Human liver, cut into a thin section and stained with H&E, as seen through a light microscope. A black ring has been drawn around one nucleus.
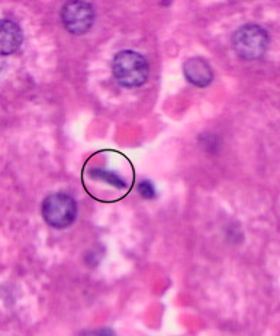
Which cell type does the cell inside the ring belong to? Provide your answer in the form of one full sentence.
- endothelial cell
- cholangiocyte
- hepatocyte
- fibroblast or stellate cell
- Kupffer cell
In this tissue sample, the cell inside the ring is an endothelial cell.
